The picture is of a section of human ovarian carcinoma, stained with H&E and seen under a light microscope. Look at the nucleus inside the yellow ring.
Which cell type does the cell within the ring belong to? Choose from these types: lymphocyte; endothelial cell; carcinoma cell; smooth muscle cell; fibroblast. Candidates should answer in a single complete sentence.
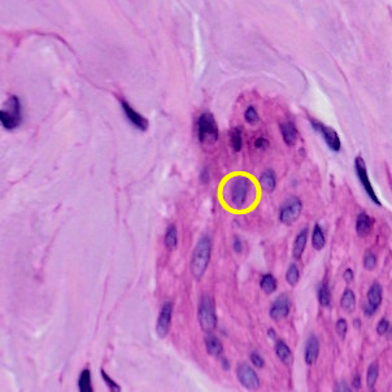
By cell type, the cell within the ring is a smooth muscle cell.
